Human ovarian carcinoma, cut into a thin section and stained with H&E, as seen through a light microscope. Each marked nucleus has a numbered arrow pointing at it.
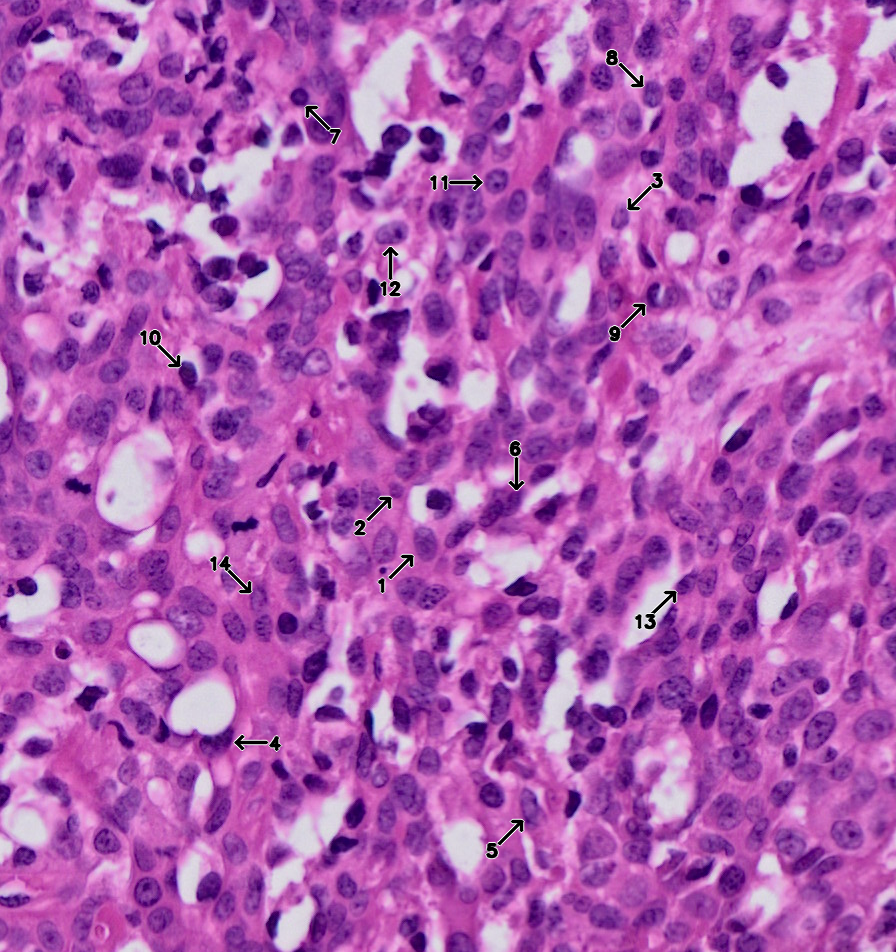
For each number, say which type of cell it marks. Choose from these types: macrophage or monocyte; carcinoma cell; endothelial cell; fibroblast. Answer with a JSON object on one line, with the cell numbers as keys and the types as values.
{"1": "carcinoma cell", "2": "carcinoma cell", "3": "macrophage or monocyte", "4": "carcinoma cell", "5": "endothelial cell", "6": "carcinoma cell", "7": "macrophage or monocyte", "8": "macrophage or monocyte", "9": "endothelial cell", "10": "carcinoma cell", "11": "macrophage or monocyte", "12": "macrophage or monocyte", "13": "carcinoma cell", "14": "carcinoma cell"}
